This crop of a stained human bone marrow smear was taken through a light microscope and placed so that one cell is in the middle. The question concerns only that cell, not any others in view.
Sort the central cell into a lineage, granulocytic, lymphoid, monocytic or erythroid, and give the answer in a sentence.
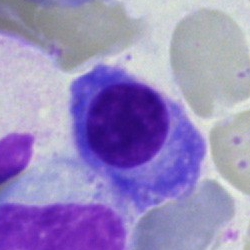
Lineage-wise, the central cell here belongs with the lymphoid series.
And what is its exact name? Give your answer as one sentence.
The cell centered in this field of view is a plasma cell.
